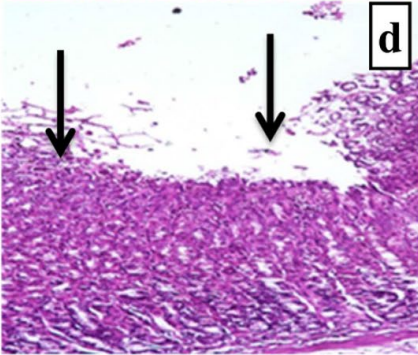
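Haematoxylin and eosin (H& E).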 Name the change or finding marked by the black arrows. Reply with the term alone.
Superficial mucosal layer destruction.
